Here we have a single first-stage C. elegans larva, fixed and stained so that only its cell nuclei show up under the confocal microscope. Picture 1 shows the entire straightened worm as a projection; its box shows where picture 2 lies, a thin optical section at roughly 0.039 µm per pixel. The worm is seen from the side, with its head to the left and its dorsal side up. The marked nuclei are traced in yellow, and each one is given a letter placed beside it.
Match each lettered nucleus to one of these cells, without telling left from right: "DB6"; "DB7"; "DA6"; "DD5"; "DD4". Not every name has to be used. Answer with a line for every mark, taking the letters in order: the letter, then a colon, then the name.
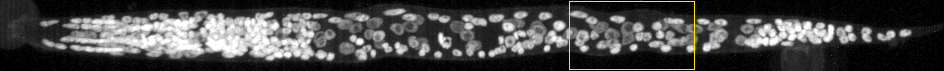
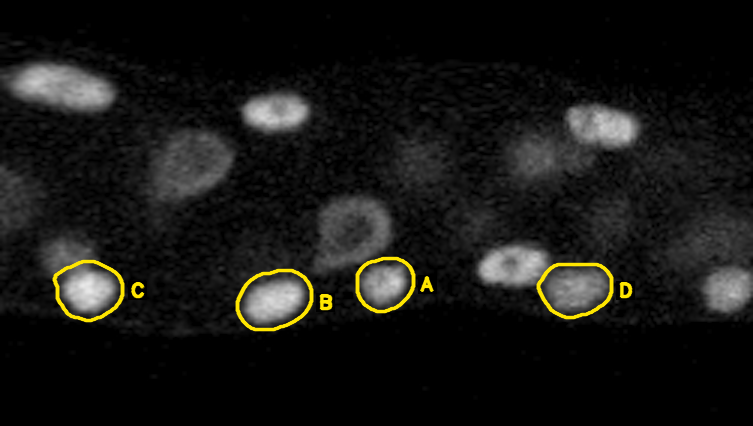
A: DA6
B: DB6
C: DD4
D: DD5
